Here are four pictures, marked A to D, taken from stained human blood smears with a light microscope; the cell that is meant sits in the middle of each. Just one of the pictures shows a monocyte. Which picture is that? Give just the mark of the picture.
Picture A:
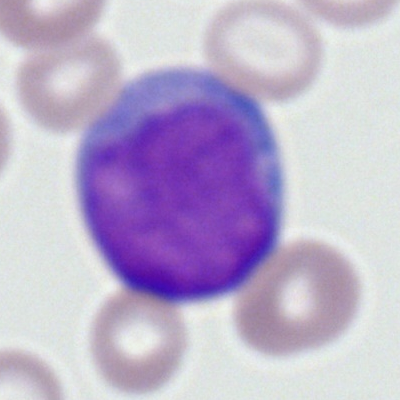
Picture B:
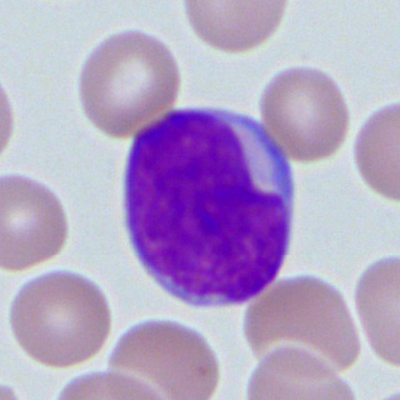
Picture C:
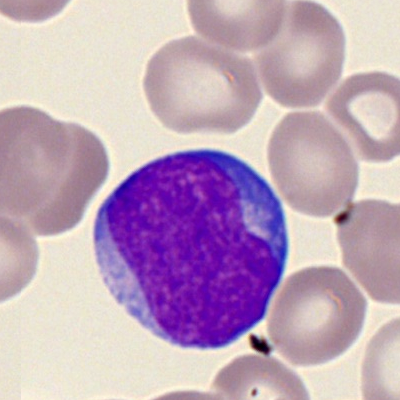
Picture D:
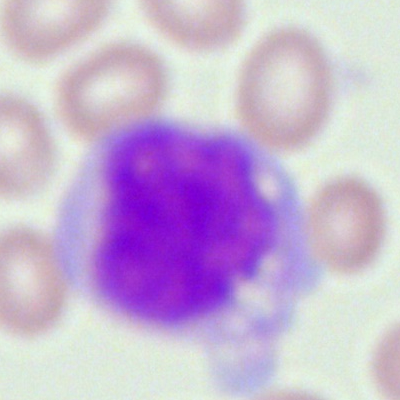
D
